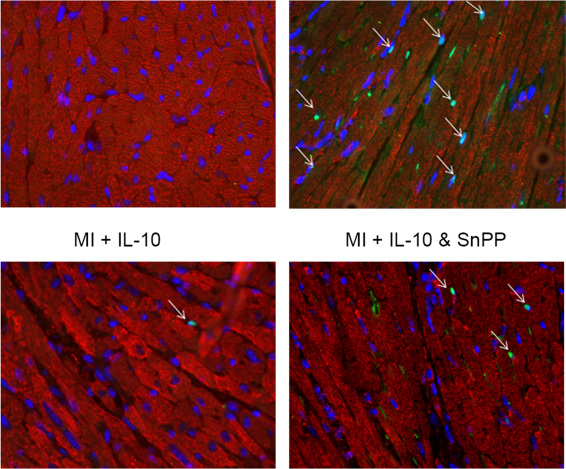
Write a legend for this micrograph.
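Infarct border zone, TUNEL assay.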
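These are sections of heart muscle with elongated red-stained cardiomyocytes running in parallel bundles and oval blue nuclei scattered among them. In one of the images many nuclei show bright green labelling, marked by white arrows, and the fibers look more disrupted with gaps between them.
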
